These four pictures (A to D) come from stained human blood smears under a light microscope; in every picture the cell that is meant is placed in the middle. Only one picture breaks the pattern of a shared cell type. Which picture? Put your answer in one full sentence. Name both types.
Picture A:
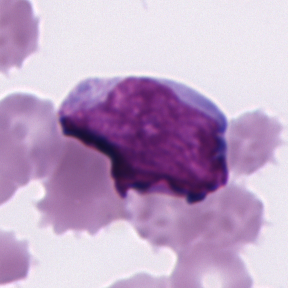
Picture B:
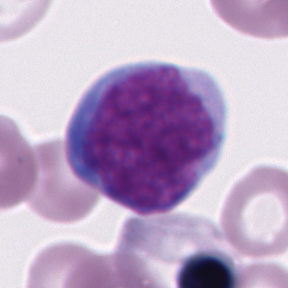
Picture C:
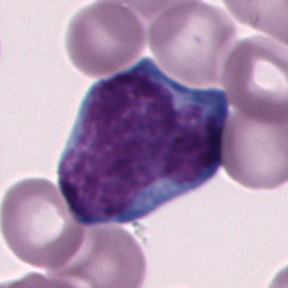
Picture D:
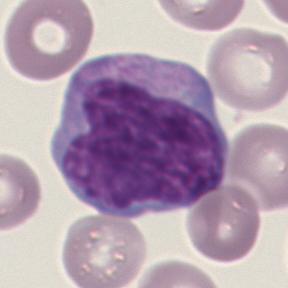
All pictures except D show myeloblasts; picture D shows an atypical promyelocyte.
